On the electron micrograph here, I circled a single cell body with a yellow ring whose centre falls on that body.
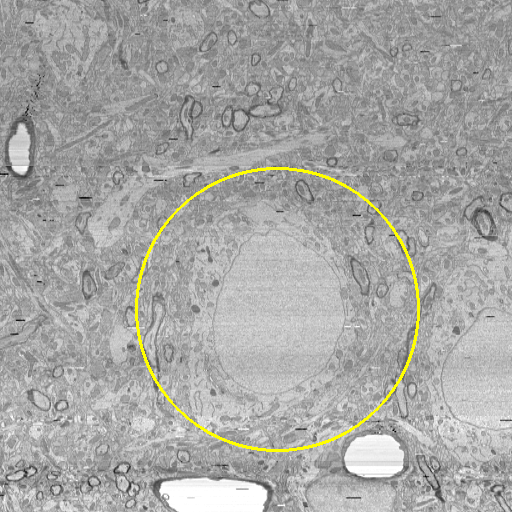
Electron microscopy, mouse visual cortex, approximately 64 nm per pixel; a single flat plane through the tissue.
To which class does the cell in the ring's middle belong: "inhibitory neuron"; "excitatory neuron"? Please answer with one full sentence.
In this picture, the cell body circled at the ring's centre belongs to an excitatory neuron.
